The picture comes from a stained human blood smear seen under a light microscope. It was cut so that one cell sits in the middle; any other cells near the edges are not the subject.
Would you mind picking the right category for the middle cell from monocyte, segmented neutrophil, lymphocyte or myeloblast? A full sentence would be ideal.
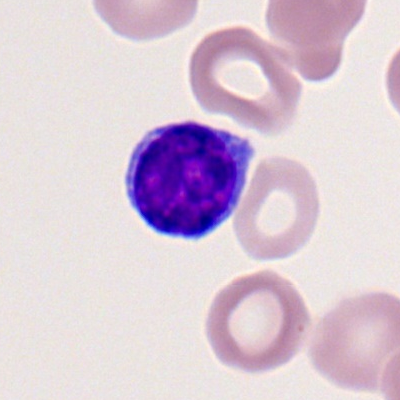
At the crop's centre, the cell is a lymphocyte.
